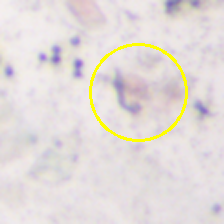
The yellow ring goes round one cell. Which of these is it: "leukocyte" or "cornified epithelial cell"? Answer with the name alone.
cornified epithelial cell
